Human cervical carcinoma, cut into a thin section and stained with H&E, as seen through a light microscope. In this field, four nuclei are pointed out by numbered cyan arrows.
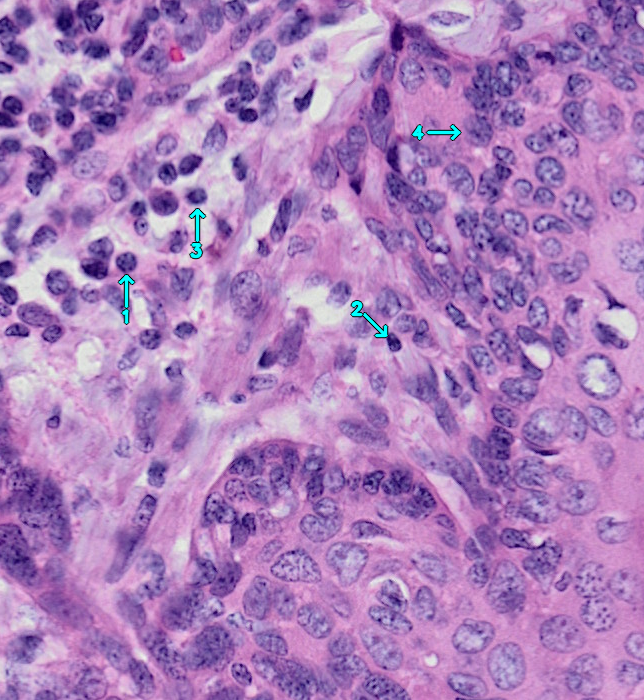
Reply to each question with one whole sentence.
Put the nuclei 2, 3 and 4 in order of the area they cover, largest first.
Largest first, the order by area is 4, 3, 2.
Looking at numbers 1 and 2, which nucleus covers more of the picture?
It is nucleus 1, which covers about 2 times the area of nucleus 2.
